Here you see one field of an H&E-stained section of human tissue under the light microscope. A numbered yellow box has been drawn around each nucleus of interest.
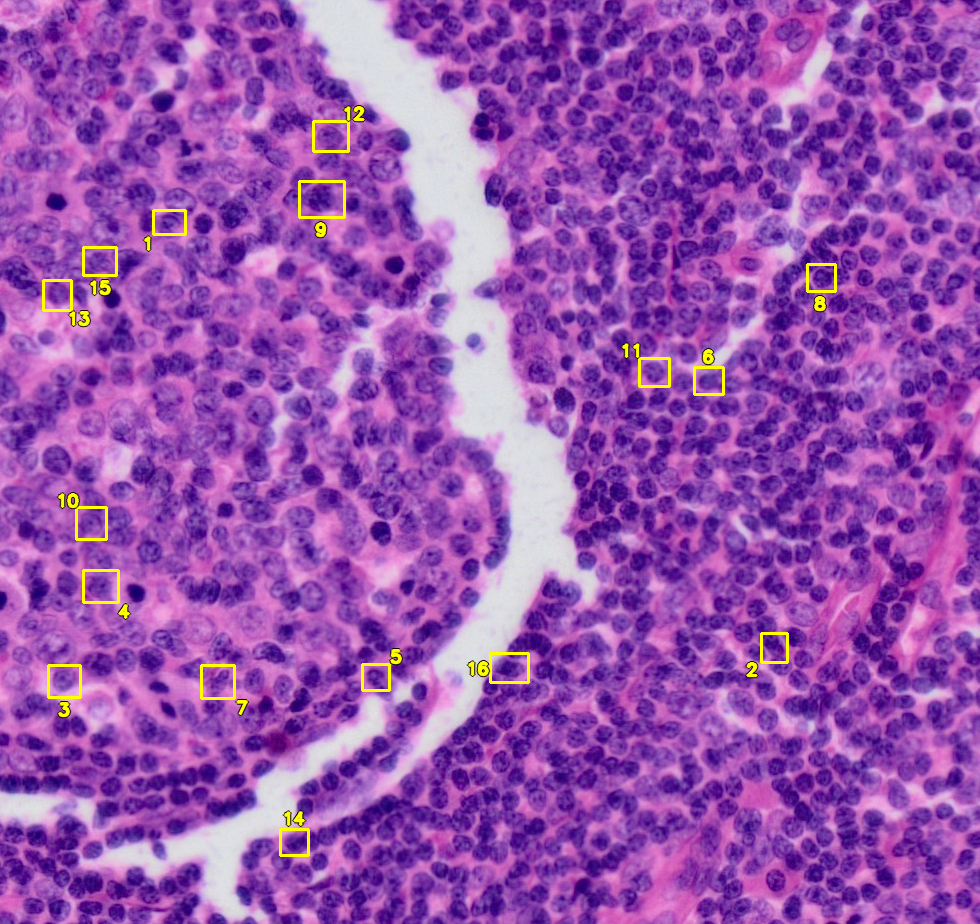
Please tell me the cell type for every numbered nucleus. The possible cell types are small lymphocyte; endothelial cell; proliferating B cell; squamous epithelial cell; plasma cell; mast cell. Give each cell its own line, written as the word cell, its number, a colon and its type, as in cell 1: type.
cell 1: proliferating B cell
cell 2: small lymphocyte
cell 3: proliferating B cell
cell 4: proliferating B cell
cell 5: small lymphocyte
cell 6: small lymphocyte
cell 7: proliferating B cell
cell 8: small lymphocyte
cell 9: proliferating B cell
cell 10: proliferating B cell
cell 11: small lymphocyte
cell 12: proliferating B cell
cell 13: proliferating B cell
cell 14: small lymphocyte
cell 15: proliferating B cell
cell 16: small lymphocyte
